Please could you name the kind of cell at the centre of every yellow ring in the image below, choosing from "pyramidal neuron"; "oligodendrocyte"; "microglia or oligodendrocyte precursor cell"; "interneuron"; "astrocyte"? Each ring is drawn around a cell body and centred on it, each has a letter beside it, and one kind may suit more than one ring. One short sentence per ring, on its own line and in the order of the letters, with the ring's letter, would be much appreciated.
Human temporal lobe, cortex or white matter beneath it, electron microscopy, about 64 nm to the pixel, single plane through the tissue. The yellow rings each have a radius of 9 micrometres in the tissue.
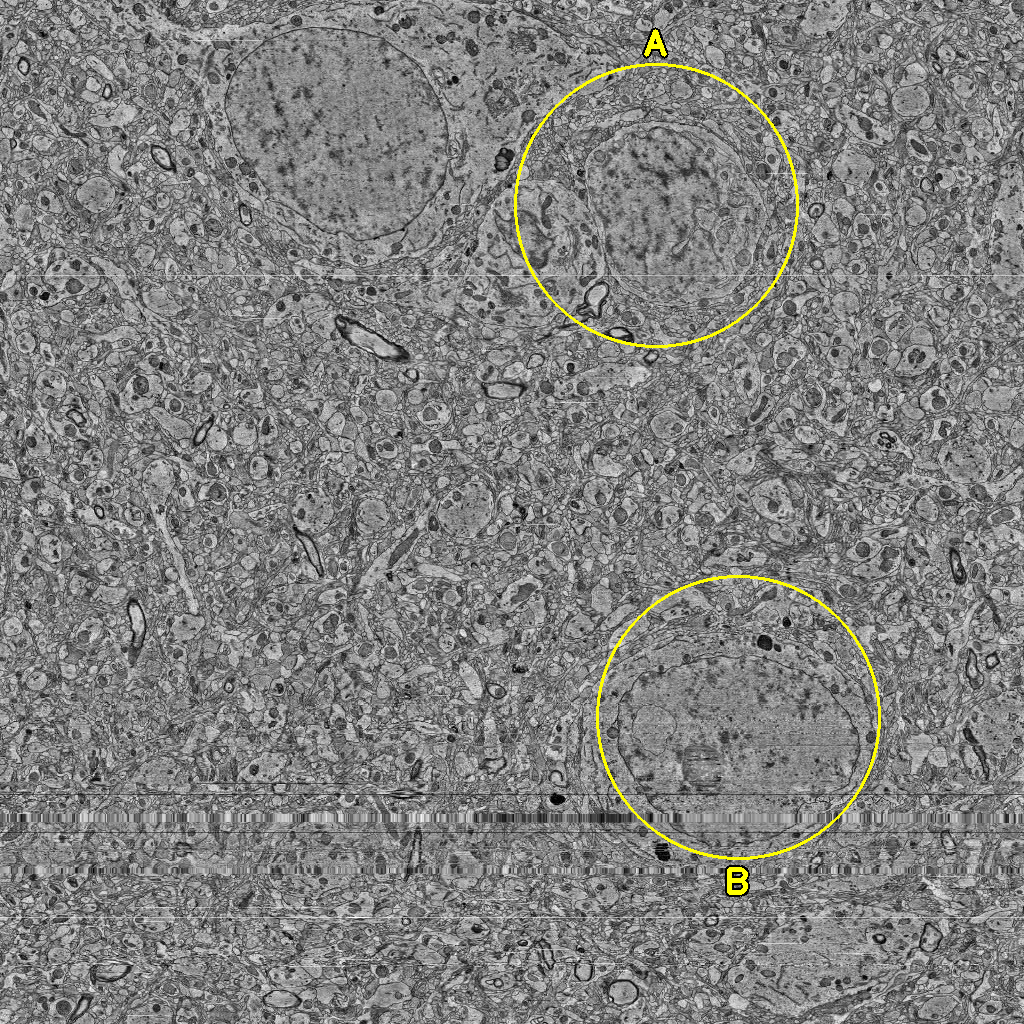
The cell in the middle of ring A is an interneuron.
The cell in the middle of ring B is a pyramidal neuron.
